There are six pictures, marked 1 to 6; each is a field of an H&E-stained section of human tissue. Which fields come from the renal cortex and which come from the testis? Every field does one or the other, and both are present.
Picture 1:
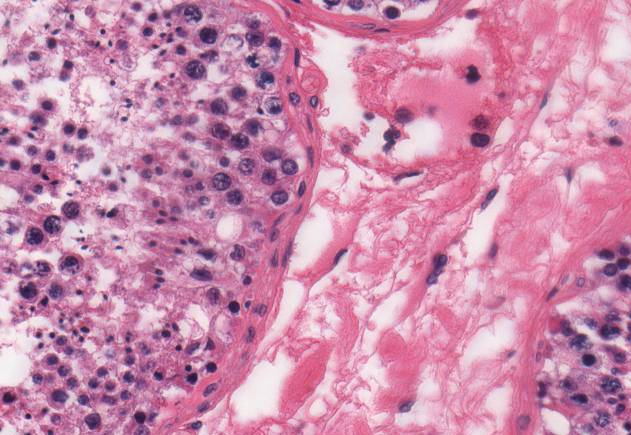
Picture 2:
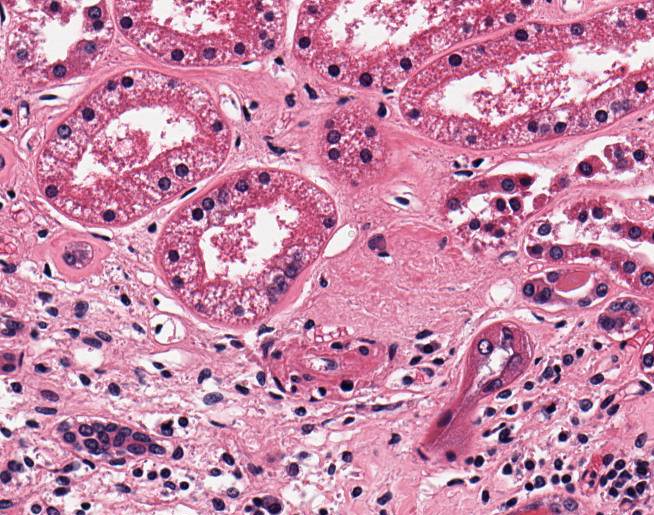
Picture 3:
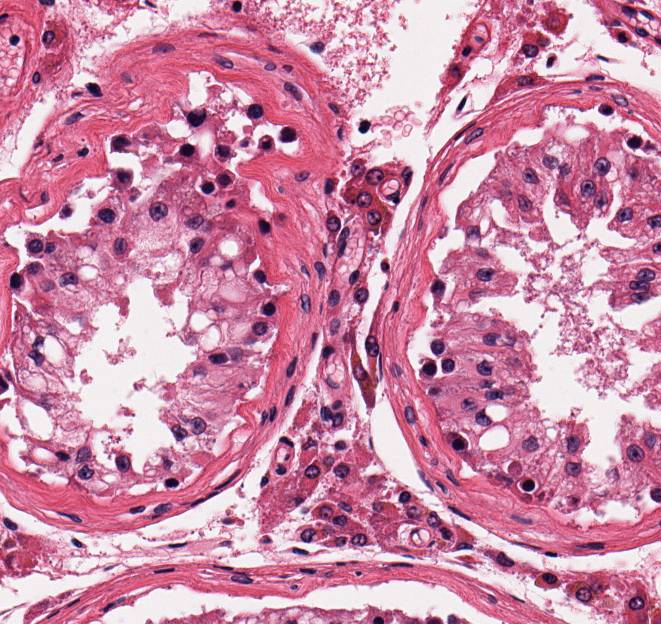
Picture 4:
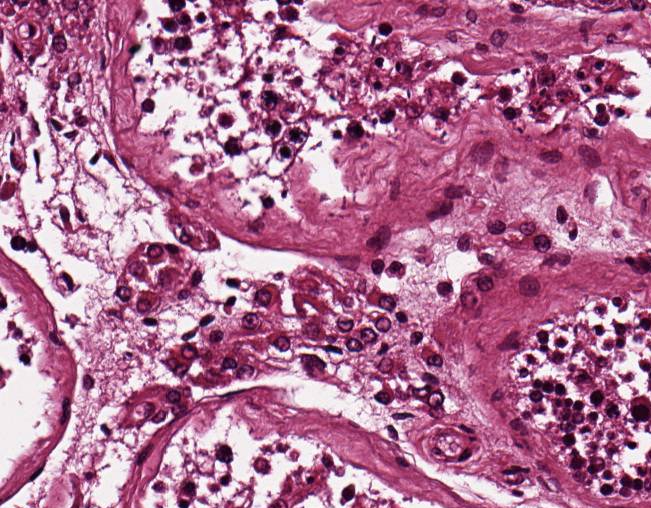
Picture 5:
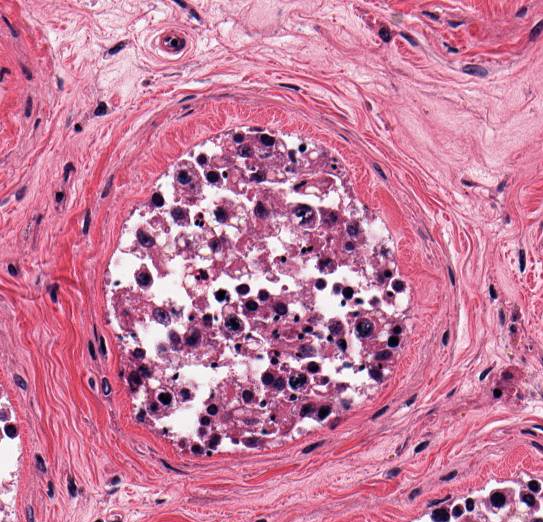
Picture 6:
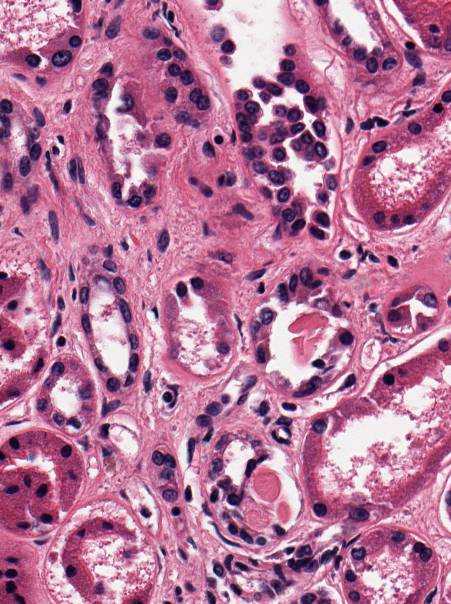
1: testis
2: renal cortex
3: testis
4: testis
5: testis
6: renal cortex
